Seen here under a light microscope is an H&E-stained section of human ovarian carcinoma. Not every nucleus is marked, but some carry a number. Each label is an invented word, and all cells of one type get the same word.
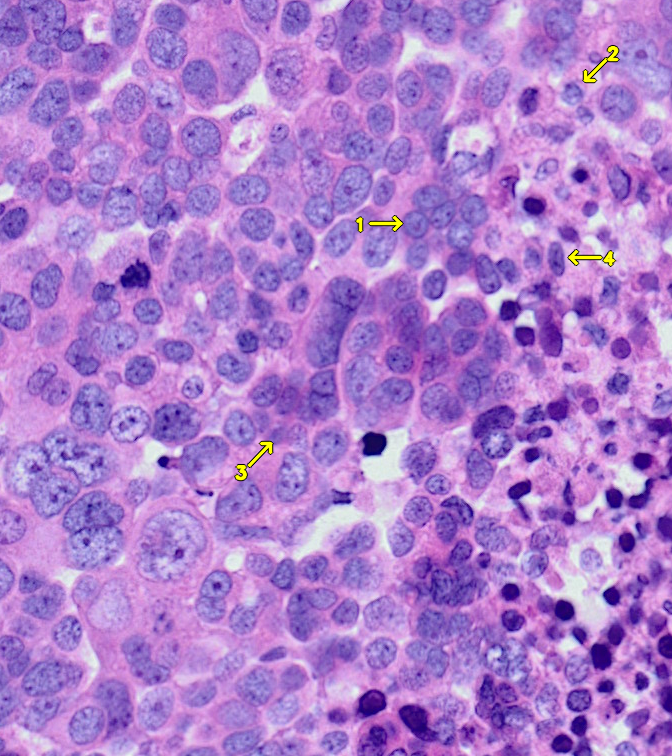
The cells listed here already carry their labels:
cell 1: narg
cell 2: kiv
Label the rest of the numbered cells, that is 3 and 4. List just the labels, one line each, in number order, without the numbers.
narg
kiv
